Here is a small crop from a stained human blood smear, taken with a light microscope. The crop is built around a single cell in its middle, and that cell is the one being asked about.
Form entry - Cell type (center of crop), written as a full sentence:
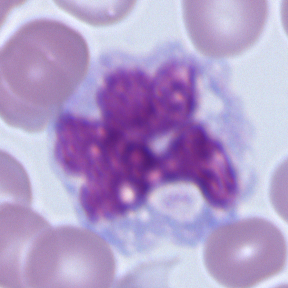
What sits at the centre of this crop is a monocyte.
